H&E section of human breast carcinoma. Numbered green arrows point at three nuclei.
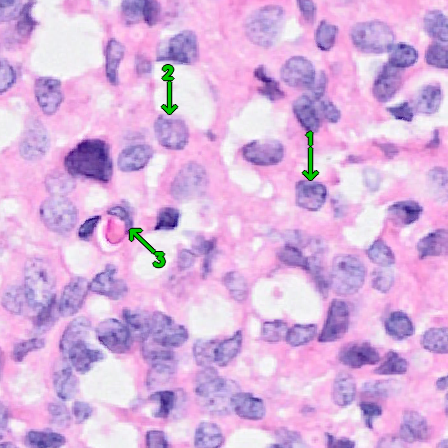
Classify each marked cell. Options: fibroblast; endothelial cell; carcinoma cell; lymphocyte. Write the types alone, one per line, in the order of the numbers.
carcinoma cell
carcinoma cell
endothelial cell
